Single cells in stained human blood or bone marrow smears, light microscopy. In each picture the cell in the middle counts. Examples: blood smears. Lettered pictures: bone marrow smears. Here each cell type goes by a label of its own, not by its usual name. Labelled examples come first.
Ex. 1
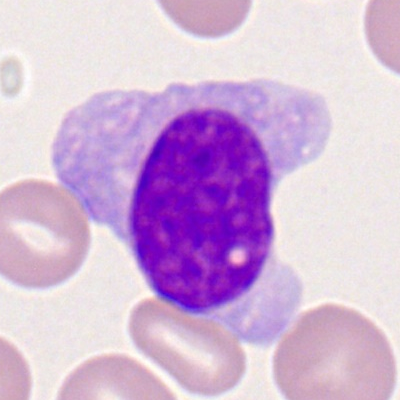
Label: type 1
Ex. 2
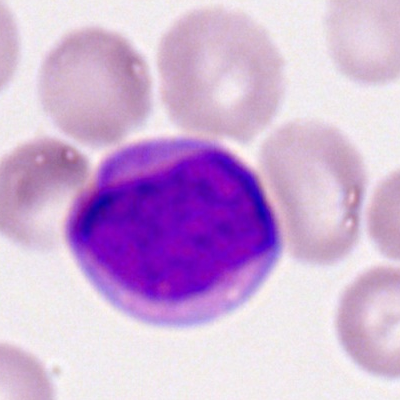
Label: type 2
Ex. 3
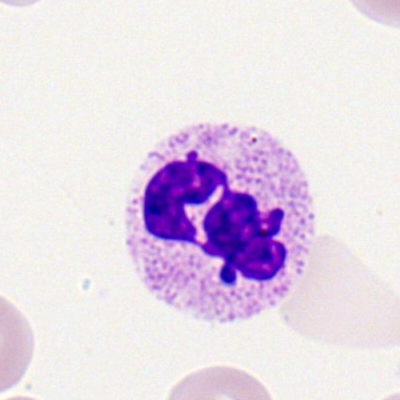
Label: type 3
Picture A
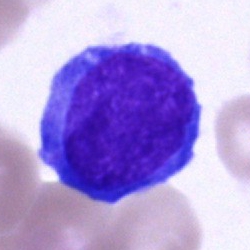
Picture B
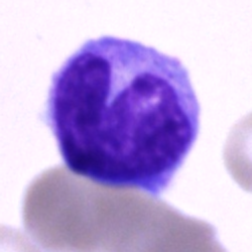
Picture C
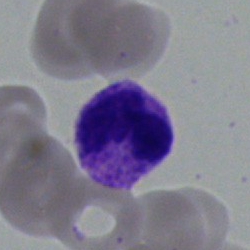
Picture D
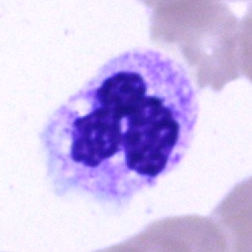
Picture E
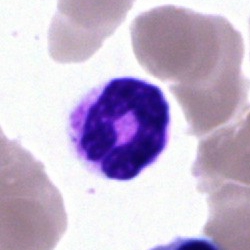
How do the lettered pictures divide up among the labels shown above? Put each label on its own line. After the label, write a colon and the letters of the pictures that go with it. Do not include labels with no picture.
type 1: B
type 2: A
type 3: C, D, E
